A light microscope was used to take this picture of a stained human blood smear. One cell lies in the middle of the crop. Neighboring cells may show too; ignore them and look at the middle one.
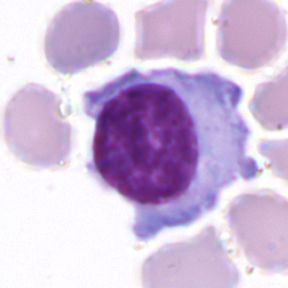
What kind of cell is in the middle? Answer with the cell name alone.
plasma cell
